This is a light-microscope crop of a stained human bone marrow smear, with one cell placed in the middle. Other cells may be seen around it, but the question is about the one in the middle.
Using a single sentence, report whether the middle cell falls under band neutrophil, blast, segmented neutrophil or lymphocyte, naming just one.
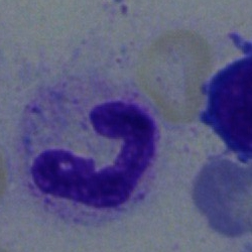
Occupying the centre of the crop is a segmented neutrophil.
